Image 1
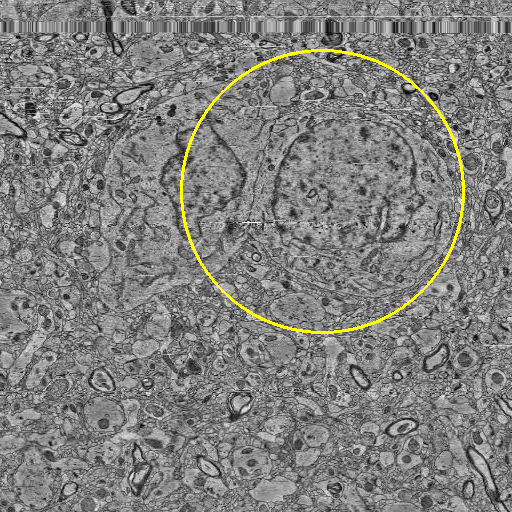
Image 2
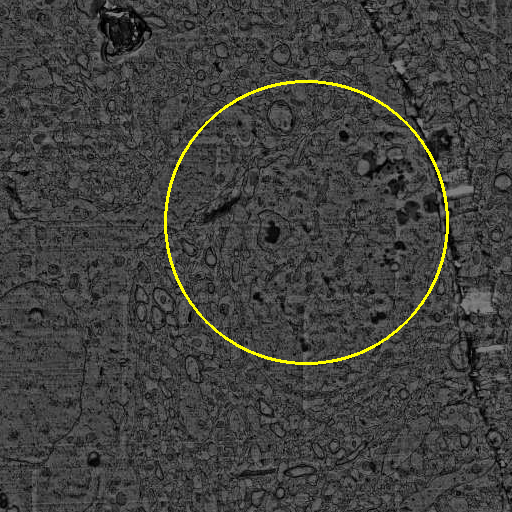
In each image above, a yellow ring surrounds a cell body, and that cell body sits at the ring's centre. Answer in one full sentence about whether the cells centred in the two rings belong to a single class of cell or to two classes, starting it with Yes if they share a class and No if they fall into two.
No, the cells centred in the two yellow rings belong to two classes of cell.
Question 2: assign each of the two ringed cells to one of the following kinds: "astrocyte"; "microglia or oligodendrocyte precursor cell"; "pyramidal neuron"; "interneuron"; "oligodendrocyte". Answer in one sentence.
The two cells are an interneuron in the first picture and an oligodendrocyte in the second.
